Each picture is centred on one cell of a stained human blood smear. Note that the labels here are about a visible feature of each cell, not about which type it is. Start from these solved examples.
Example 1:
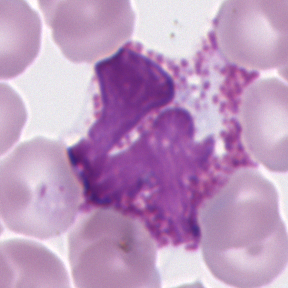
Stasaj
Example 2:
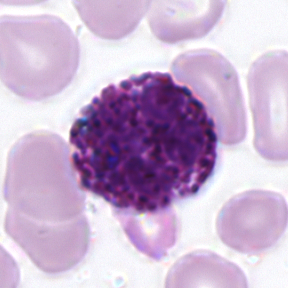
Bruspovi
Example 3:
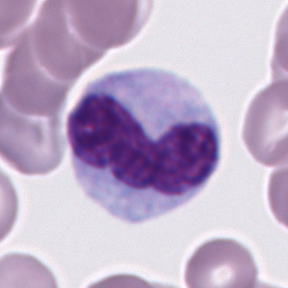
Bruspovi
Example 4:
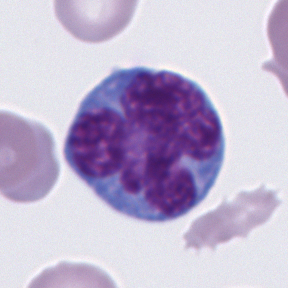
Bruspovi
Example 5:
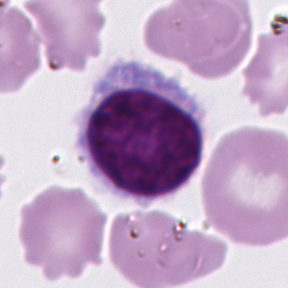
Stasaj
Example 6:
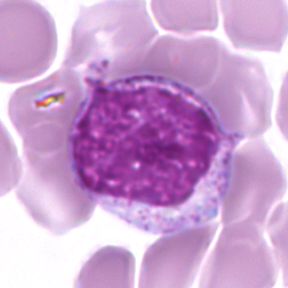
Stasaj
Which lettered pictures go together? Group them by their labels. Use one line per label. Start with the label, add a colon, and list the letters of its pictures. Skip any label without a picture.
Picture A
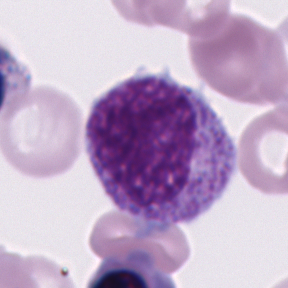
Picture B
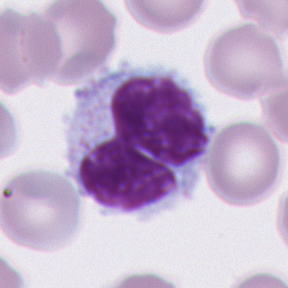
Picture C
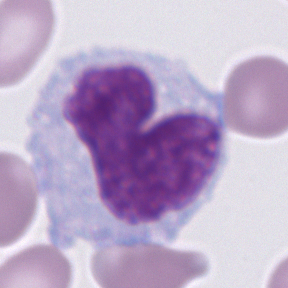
Stasaj: A, B, C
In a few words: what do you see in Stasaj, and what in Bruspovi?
Seen in Stasaj: ragged outline or projections; seen in Bruspovi: smooth outline.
